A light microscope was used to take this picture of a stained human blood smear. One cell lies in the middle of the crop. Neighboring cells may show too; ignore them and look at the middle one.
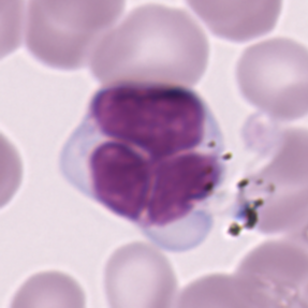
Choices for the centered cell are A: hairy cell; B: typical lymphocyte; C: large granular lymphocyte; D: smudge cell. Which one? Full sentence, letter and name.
The cell in the middle is correctly identified as a large granular lymphocyte in option C.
